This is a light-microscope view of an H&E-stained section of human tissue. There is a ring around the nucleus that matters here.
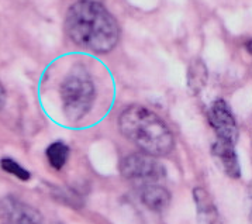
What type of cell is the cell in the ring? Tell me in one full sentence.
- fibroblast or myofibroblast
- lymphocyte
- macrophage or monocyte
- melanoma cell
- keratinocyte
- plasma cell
Cell type answer for this item: the cell in the ring is a melanoma cell.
